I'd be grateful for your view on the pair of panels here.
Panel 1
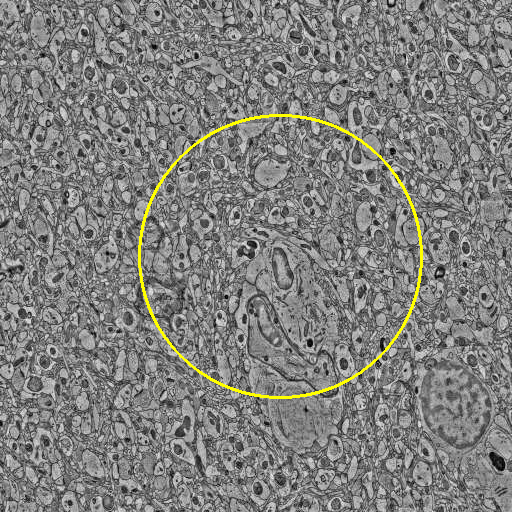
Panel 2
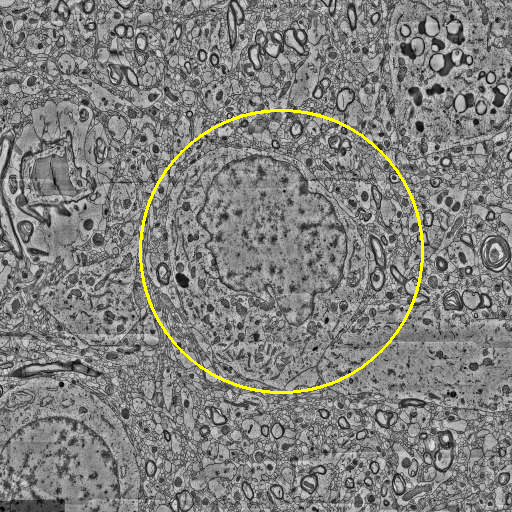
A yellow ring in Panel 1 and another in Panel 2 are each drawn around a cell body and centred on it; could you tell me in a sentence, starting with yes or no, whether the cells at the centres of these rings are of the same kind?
No, they are two kinds of cell.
